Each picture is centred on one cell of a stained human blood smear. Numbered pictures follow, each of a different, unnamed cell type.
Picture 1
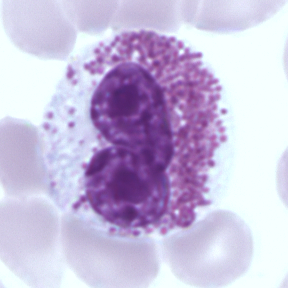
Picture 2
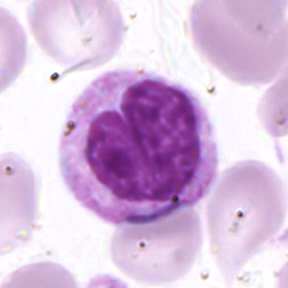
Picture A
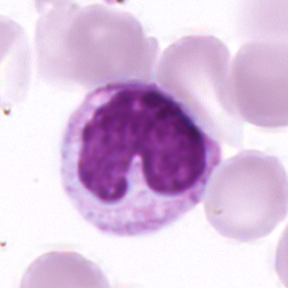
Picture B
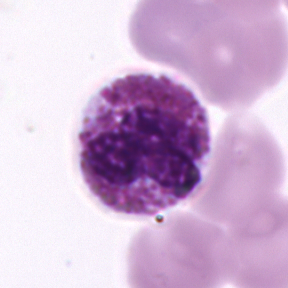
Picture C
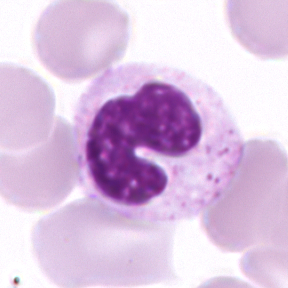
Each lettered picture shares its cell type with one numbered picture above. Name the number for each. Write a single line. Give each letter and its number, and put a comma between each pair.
A 2, B 1, C 2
